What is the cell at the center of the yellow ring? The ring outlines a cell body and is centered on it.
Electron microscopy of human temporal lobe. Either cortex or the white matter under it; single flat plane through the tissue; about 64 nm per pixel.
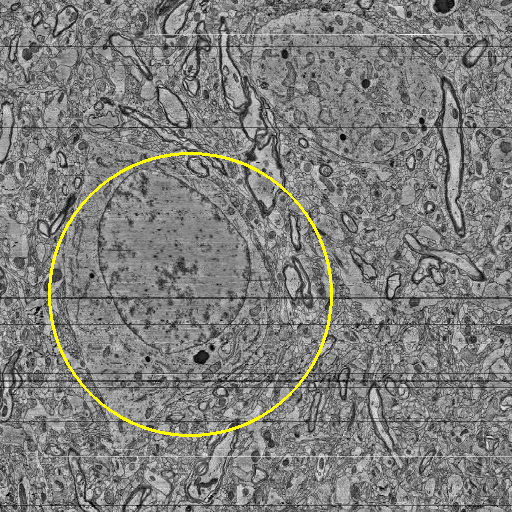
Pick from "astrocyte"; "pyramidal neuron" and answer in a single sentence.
The yellow ring is centered on a pyramidal neuron.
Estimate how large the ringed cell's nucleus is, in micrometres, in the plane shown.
In this plane, roughly 13 by 10 micrometres.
